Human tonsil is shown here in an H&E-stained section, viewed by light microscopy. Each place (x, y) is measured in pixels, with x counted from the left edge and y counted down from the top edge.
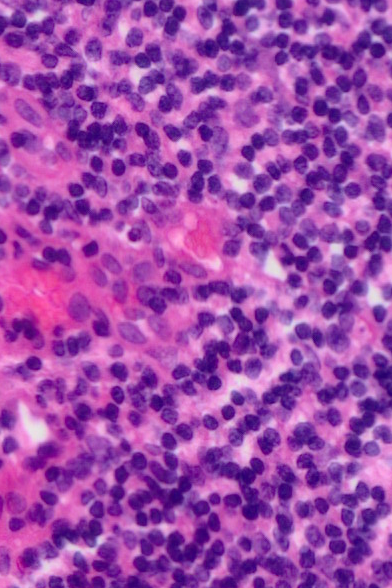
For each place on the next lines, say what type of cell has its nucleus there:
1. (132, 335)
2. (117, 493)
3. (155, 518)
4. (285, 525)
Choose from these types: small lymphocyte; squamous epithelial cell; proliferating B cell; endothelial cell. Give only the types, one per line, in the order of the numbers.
endothelial cell
small lymphocyte
small lymphocyte
small lymphocyte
